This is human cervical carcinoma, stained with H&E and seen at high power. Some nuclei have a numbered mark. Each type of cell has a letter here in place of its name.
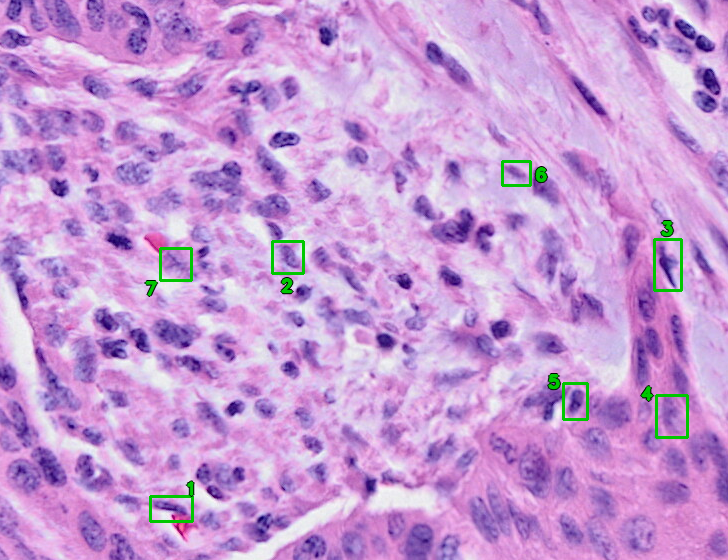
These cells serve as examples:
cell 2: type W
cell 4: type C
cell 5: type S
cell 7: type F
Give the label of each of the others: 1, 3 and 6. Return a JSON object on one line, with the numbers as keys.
{"1": "type F", "3": "type S", "6": "type W"}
